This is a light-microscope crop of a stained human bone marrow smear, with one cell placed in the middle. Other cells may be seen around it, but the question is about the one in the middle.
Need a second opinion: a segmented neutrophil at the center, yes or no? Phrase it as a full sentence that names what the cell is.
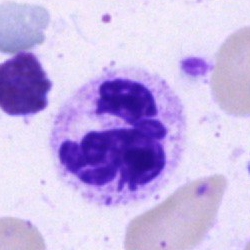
Yes, the cell found in the center of the crop is a segmented neutrophil.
